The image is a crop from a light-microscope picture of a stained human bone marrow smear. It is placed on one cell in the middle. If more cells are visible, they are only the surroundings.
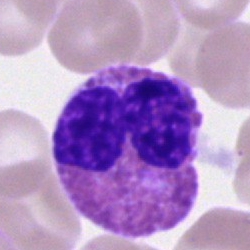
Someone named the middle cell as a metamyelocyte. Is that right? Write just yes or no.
no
